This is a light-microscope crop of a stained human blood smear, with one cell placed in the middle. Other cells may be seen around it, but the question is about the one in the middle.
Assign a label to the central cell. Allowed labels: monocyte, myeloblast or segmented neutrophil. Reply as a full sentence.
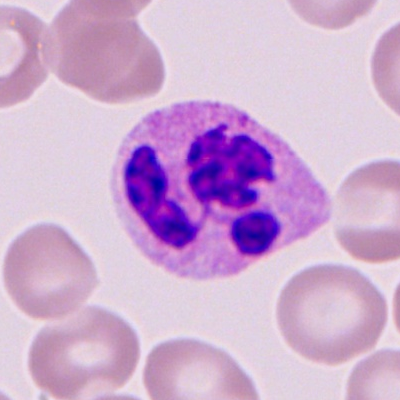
The cell nearest the centre of this crop is a segmented neutrophil.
